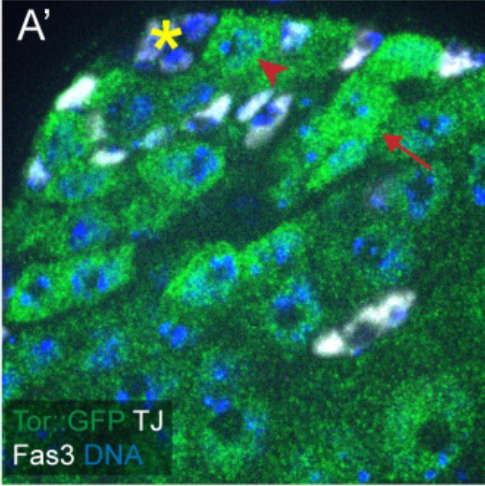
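The apical tip of a testis is seen, with the hub at the top edge and germ cells and cyst cells arranged around it. The germ cells are the larger cells with bright green cytoplasm and blue nuclei; some lie singly near the tip, others form clusters of several adjoining cells. Small, flattened white nuclei of early cyst cells lie wedged between and around the germ cells. At the tip a compact group of small cells carries white staining. Farther from the tip the green cytoplasmic signal becomes weaker and the cells appear less distinct.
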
